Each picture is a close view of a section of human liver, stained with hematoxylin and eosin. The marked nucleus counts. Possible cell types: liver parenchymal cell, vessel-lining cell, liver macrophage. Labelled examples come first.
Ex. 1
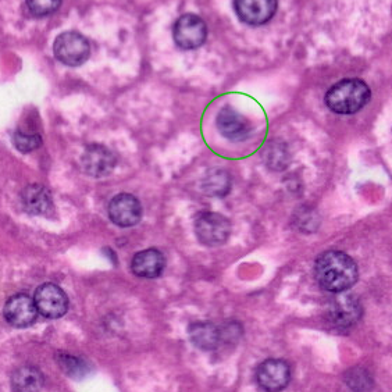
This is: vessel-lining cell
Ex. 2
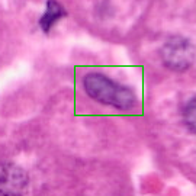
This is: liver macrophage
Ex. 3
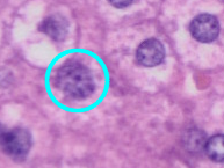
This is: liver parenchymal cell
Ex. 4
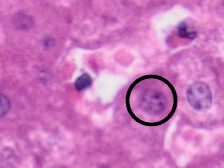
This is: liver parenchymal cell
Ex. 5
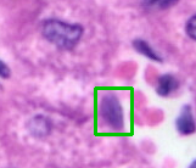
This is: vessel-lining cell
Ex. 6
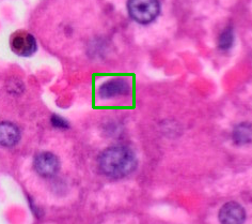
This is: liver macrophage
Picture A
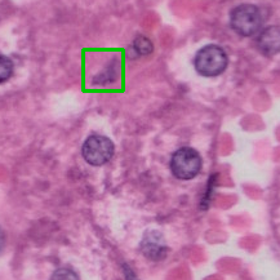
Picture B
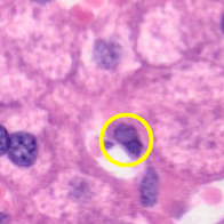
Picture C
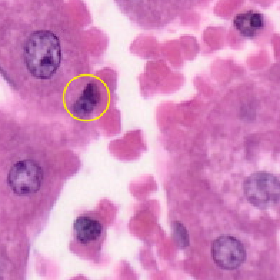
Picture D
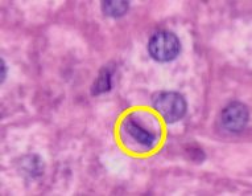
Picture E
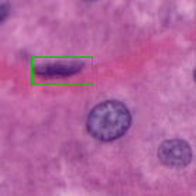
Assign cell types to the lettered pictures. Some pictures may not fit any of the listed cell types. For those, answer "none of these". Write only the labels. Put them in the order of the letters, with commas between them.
vessel-lining cell, liver macrophage, none of these, none of these, vessel-lining cell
